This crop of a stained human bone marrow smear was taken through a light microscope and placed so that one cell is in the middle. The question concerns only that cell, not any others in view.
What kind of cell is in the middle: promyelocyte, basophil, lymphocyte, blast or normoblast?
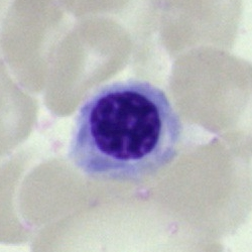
normoblast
